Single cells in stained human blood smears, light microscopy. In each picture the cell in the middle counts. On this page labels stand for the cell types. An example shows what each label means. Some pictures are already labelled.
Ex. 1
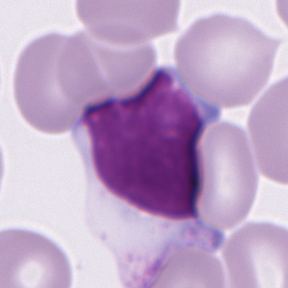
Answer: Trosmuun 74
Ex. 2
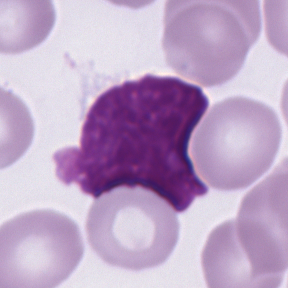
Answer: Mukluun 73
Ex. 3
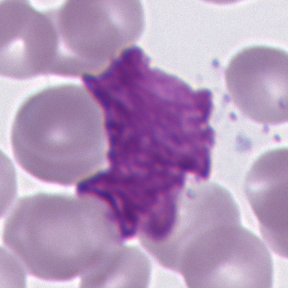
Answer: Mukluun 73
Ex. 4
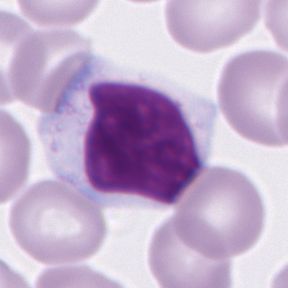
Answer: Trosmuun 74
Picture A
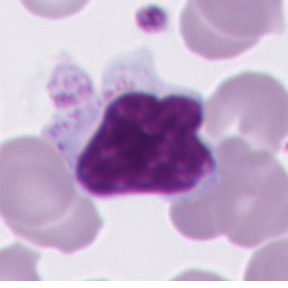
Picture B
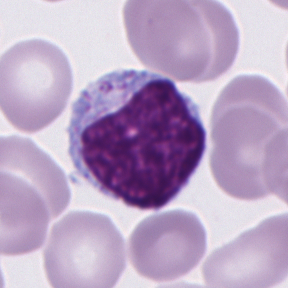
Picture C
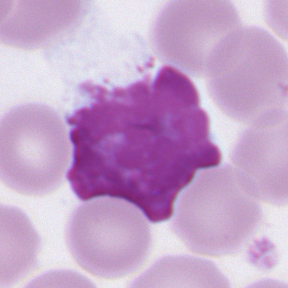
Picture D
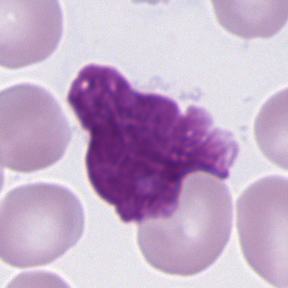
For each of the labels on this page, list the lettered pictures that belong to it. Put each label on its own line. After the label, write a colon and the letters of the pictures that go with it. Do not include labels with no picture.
Trosmuun 74: A, B
Mukluun 73: C, D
